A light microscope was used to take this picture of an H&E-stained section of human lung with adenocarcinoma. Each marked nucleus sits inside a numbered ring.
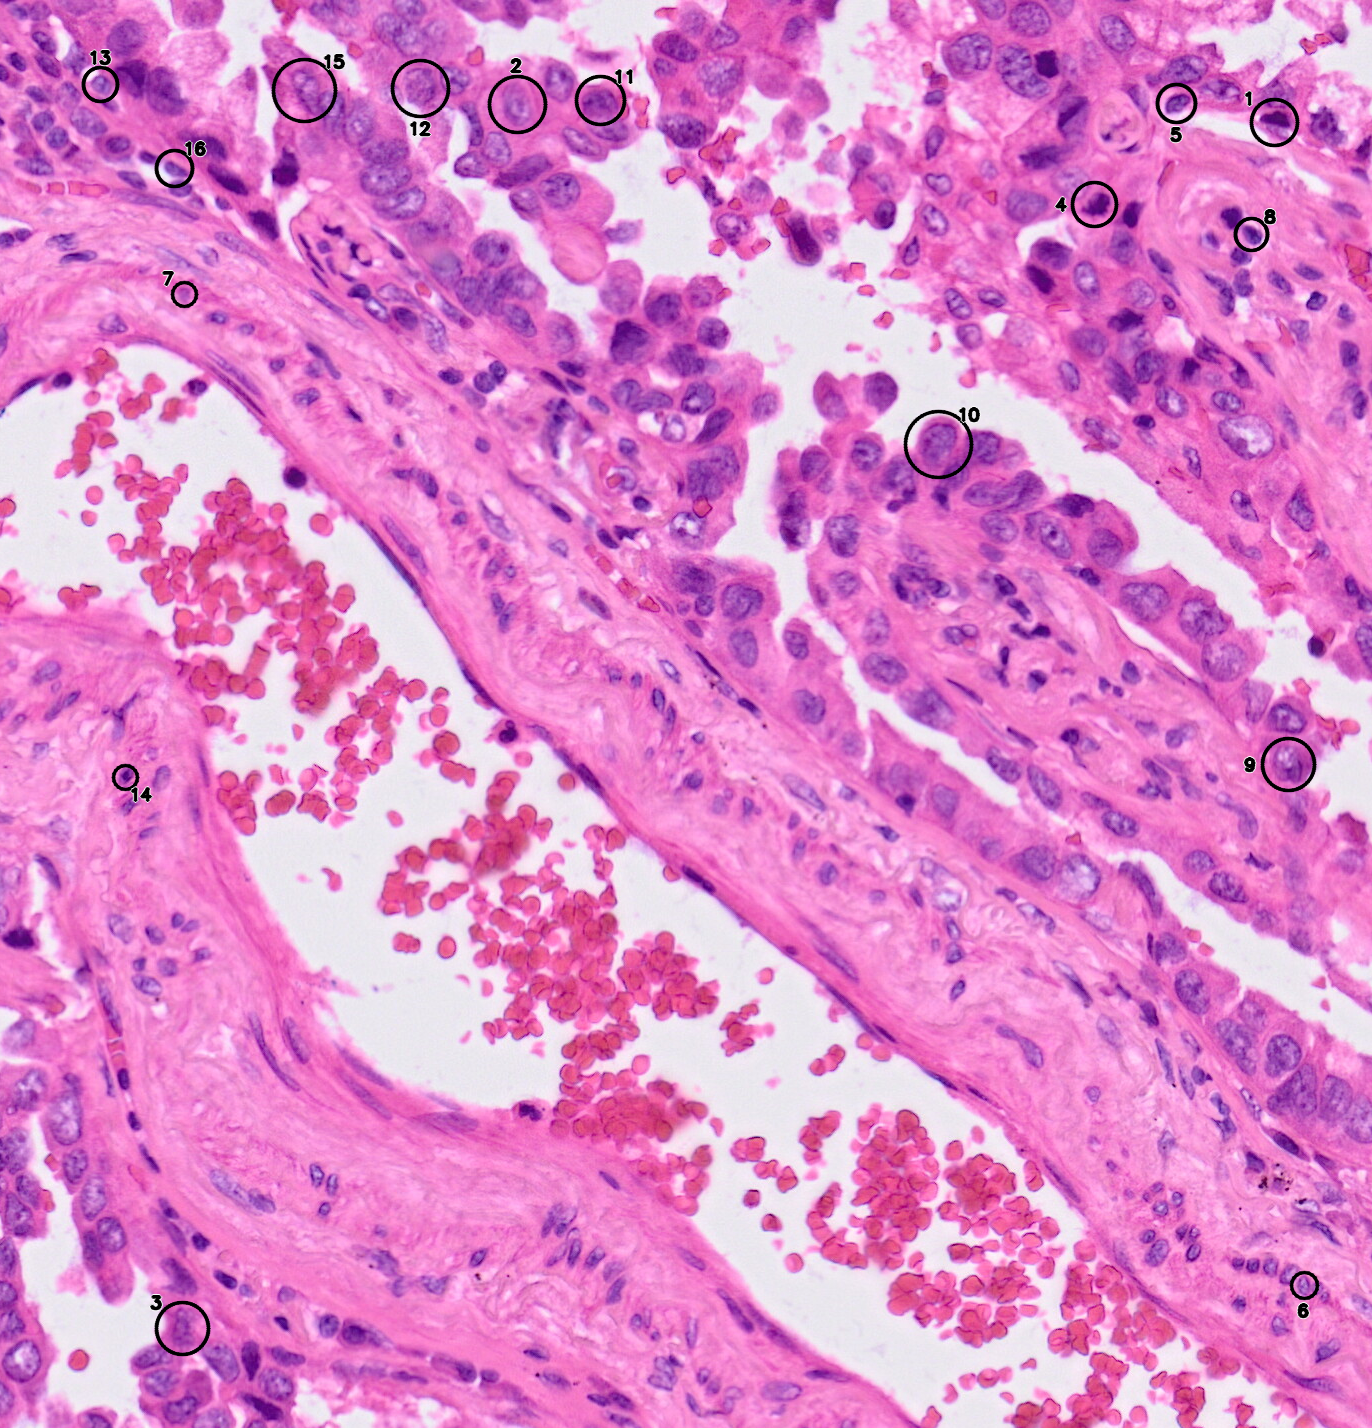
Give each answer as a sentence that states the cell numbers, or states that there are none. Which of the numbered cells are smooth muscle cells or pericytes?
The cells marked 6, 7 and 14 in the section are smooth muscle cells or pericytes.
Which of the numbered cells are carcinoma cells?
The cells numbered 1, 2, 3, 4, 9, 10, 11, 12 and 15 are typed as carcinoma cells.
